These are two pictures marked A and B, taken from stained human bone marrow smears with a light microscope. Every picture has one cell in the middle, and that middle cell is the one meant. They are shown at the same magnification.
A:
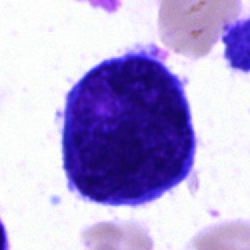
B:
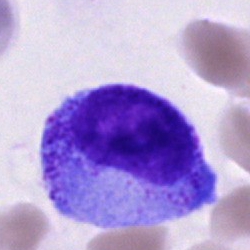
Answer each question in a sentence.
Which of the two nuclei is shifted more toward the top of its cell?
The nucleus in crop B lies further toward the top of its cell.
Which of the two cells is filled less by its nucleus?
Of the two, the nucleus in crop B leaves more room for cytoplasm.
